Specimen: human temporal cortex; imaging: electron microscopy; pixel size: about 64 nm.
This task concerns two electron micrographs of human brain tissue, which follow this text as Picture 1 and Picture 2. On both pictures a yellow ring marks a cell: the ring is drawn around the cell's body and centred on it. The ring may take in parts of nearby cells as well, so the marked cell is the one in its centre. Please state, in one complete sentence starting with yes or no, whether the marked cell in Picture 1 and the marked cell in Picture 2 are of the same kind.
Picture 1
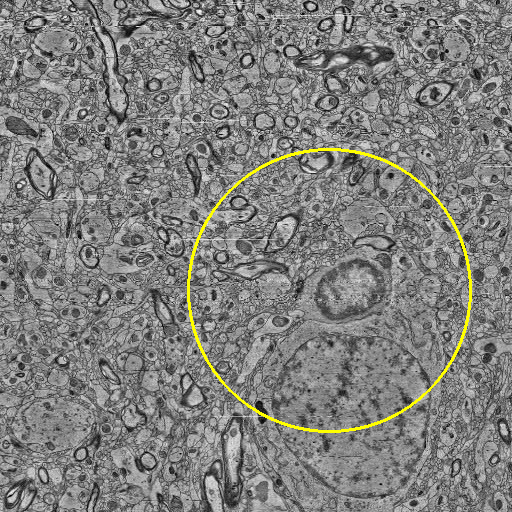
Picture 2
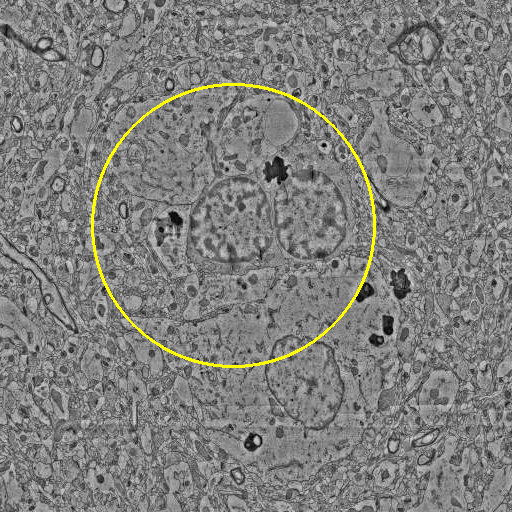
Yes, the marked cells in both pictures are of the same kind.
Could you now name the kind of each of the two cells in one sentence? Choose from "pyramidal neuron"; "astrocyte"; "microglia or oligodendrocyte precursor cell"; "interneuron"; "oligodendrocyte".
In both pictures the ring is centred on an oligodendrocyte.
